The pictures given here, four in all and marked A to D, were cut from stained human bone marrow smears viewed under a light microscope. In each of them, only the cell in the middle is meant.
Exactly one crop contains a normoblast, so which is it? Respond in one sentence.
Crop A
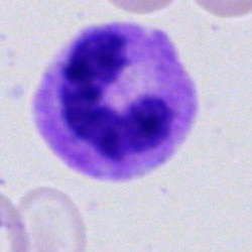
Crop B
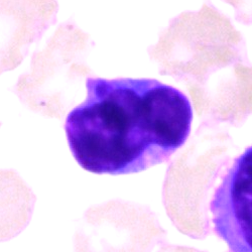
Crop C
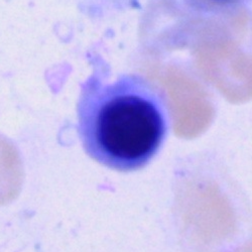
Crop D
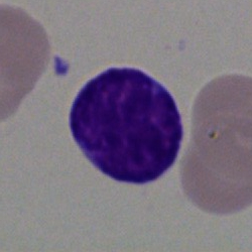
The crop with a normoblast at its center is crop C.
